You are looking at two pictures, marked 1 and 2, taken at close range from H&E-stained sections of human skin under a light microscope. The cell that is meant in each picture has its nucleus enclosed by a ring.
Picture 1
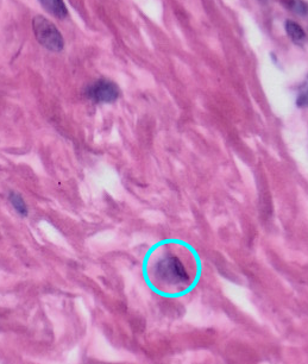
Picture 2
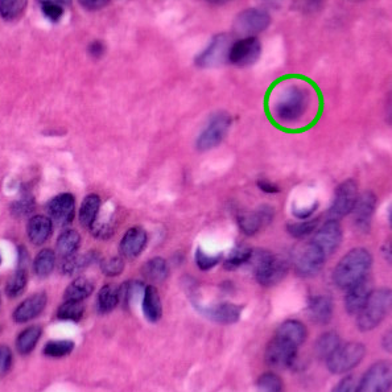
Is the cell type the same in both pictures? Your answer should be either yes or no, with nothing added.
yes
